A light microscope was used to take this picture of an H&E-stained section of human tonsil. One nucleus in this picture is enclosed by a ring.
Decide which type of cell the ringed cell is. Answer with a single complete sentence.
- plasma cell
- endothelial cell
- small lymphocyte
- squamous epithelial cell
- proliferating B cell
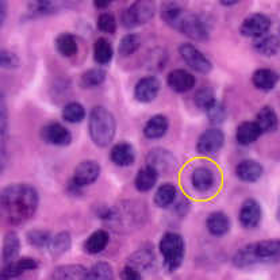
In this tissue sample, the ringed cell is a plasma cell.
